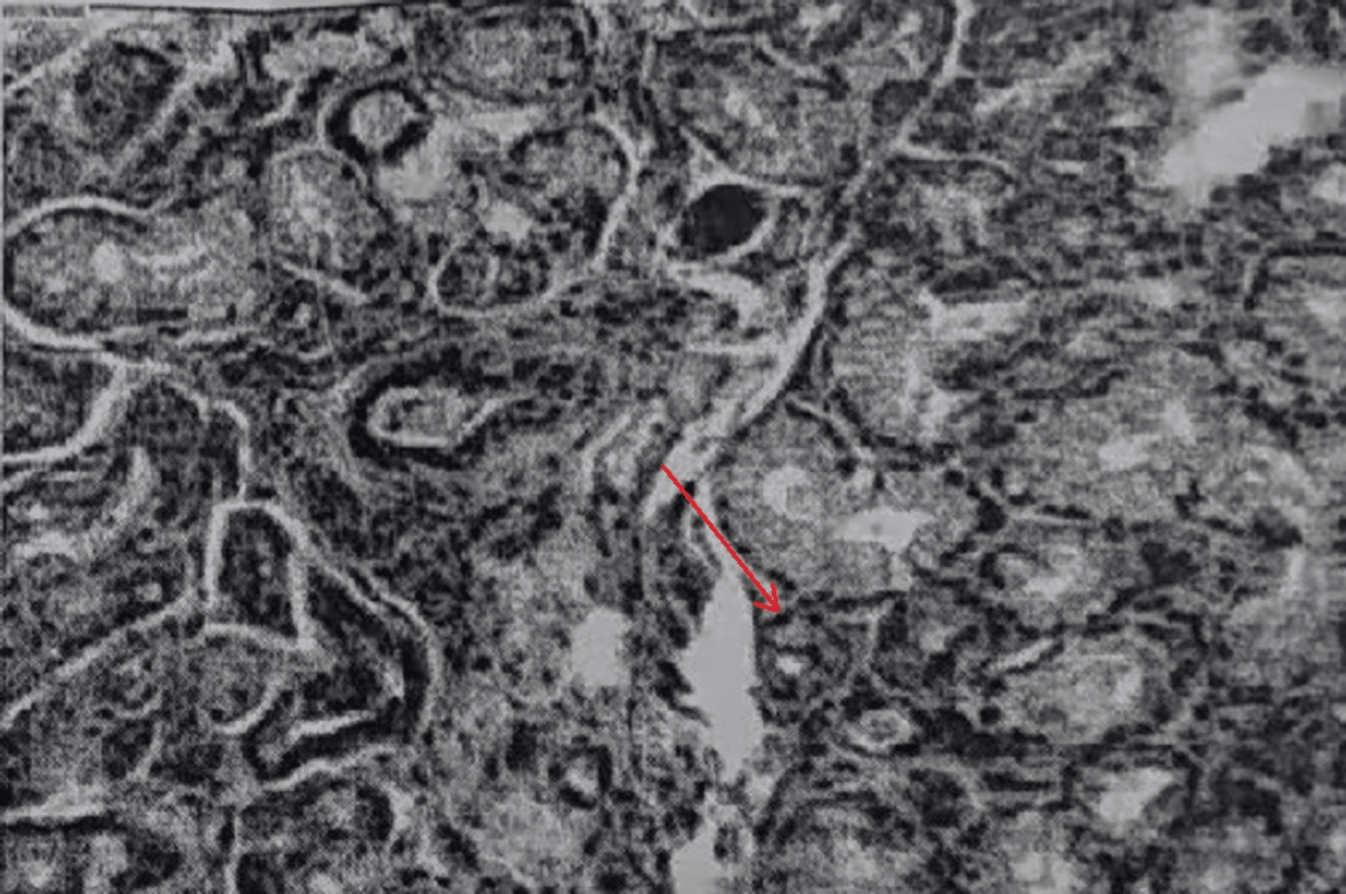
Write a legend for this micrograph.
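Pale, winding bands of connective tissue separate the units. An elongated pale lumen runs vertically through the centre, with smaller pale spaces scattered across the field. Grain and low contrast hide most nuclear detail, so single cells cannot be told reliably.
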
